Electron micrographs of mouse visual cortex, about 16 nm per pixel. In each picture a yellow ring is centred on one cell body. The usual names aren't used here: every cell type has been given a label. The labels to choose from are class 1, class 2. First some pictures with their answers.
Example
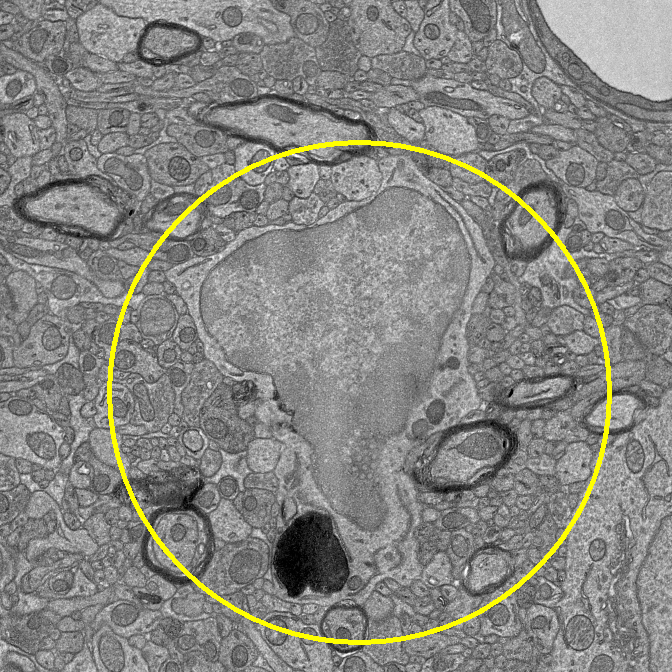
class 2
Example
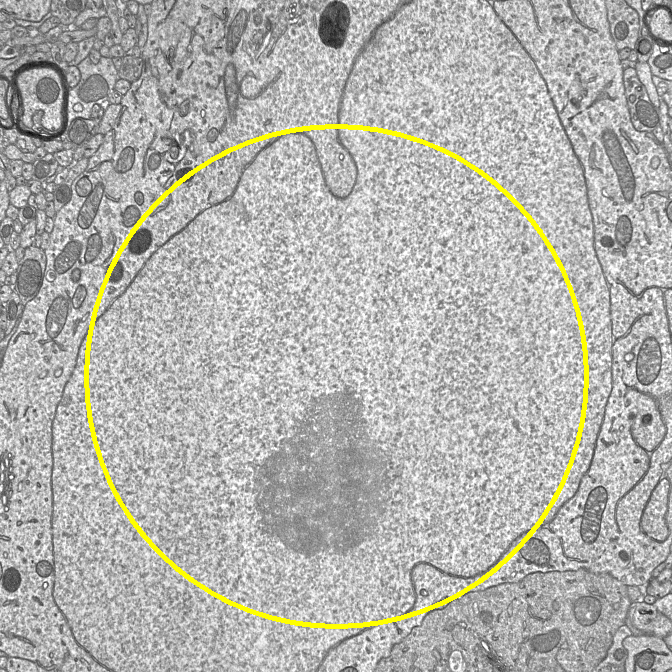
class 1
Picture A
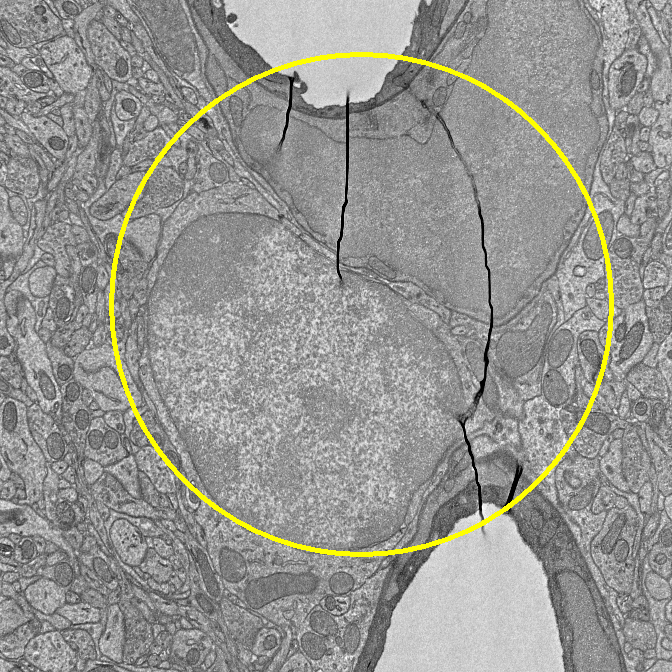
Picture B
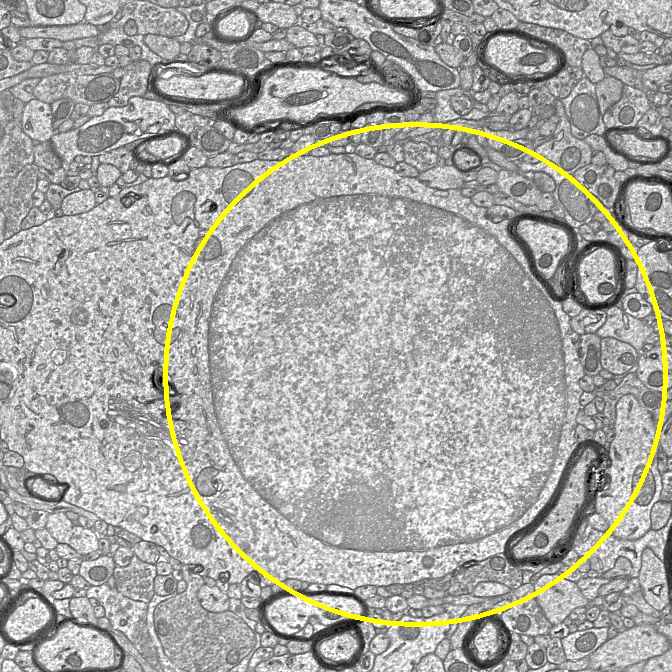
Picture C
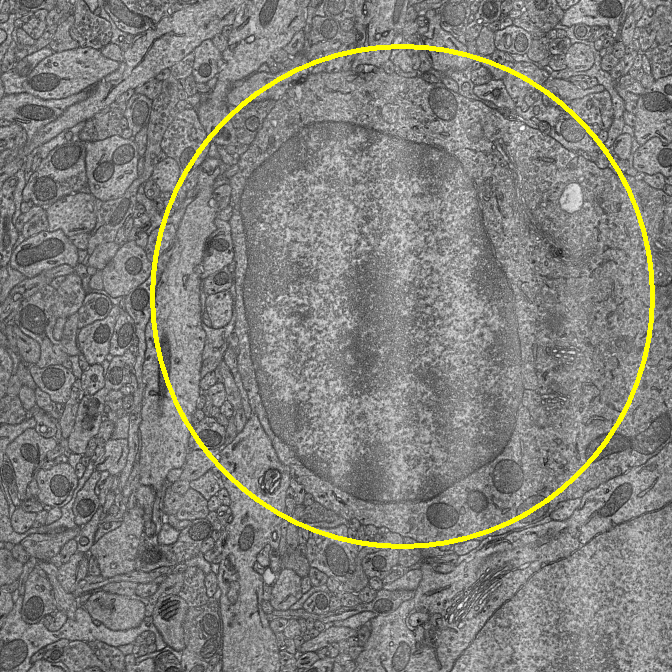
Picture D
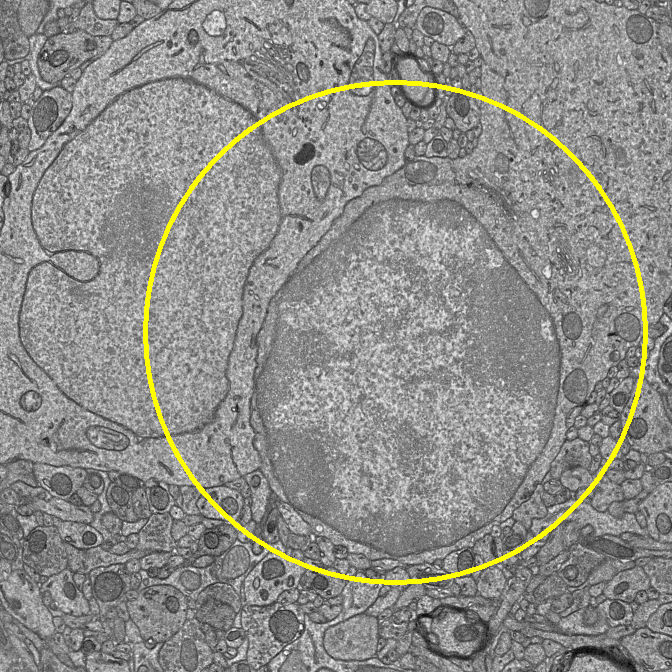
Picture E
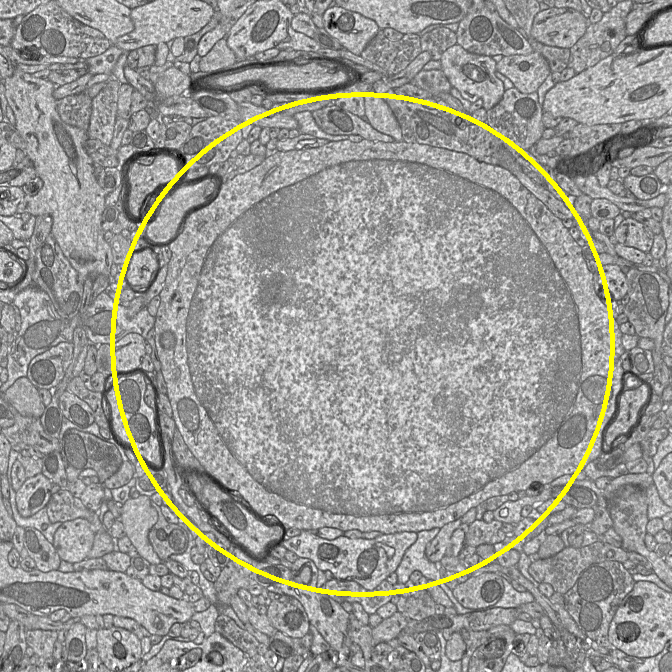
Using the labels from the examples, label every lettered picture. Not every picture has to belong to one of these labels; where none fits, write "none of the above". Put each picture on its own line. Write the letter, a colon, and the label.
A: none of the above
B: none of the above
C: none of the above
D: none of the above
E: none of the above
